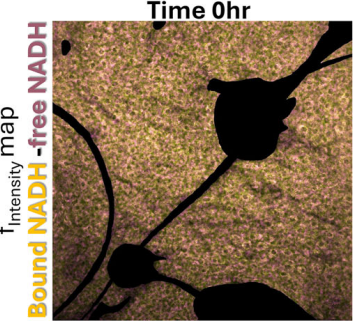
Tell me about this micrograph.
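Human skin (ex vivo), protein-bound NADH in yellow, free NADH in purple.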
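A face-on view of the epidermis shows a dense sheet of small, polygonal cells packed edge to edge in a cobblestone pattern. Each cell shows a small dark, rounded center, likely the nucleus, surrounded by a rim of brighter cytoplasm. Across the sheet the color is mostly yellow-olive, with a pinkish-purple tinge in places. Long, thin black bands cross the field, and several of them end in rounded black bulbs. The cells in this sheet are epidermal keratinocytes.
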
